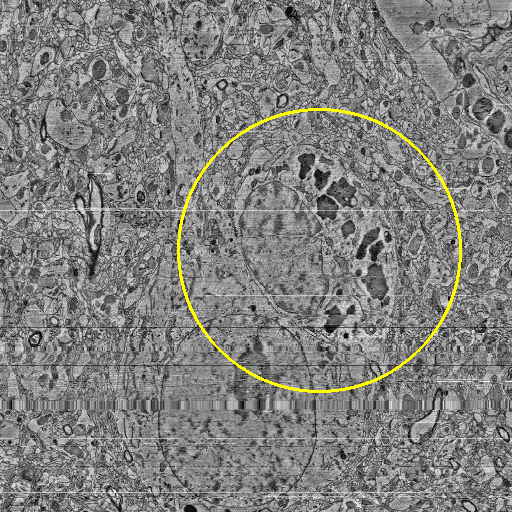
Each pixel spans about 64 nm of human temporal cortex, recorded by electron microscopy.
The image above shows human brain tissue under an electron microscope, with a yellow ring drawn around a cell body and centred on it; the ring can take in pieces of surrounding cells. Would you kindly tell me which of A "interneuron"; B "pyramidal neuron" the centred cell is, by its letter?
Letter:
A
